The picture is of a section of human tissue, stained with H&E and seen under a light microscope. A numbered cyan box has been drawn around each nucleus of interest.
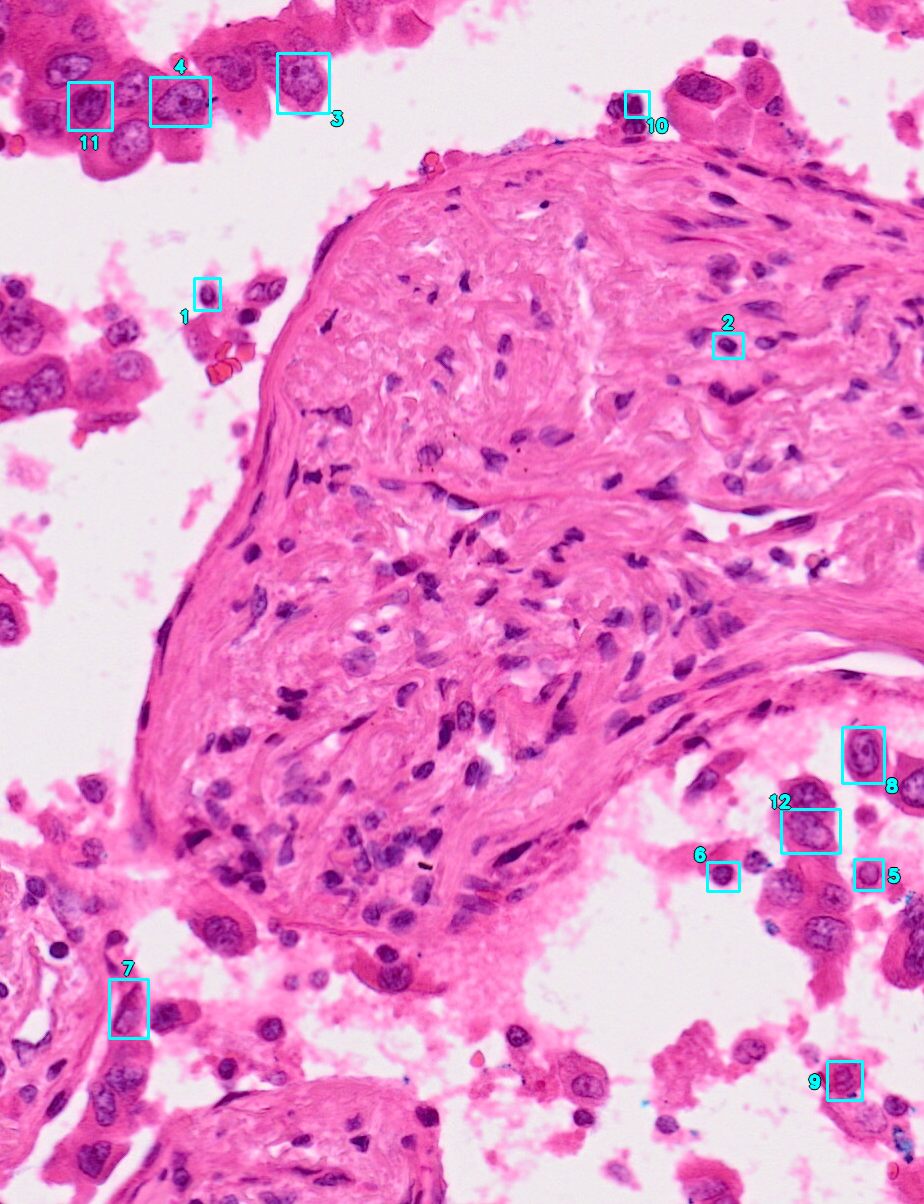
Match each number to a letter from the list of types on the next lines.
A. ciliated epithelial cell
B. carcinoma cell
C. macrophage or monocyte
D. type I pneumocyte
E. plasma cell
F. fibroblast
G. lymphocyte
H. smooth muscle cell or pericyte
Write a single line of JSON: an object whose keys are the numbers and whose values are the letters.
{"1": "G", "2": "G", "3": "B", "4": "B", "5": "C", "6": "G", "7": "B", "8": "B", "9": "C", "10": "G", "11": "B", "12": "B"}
